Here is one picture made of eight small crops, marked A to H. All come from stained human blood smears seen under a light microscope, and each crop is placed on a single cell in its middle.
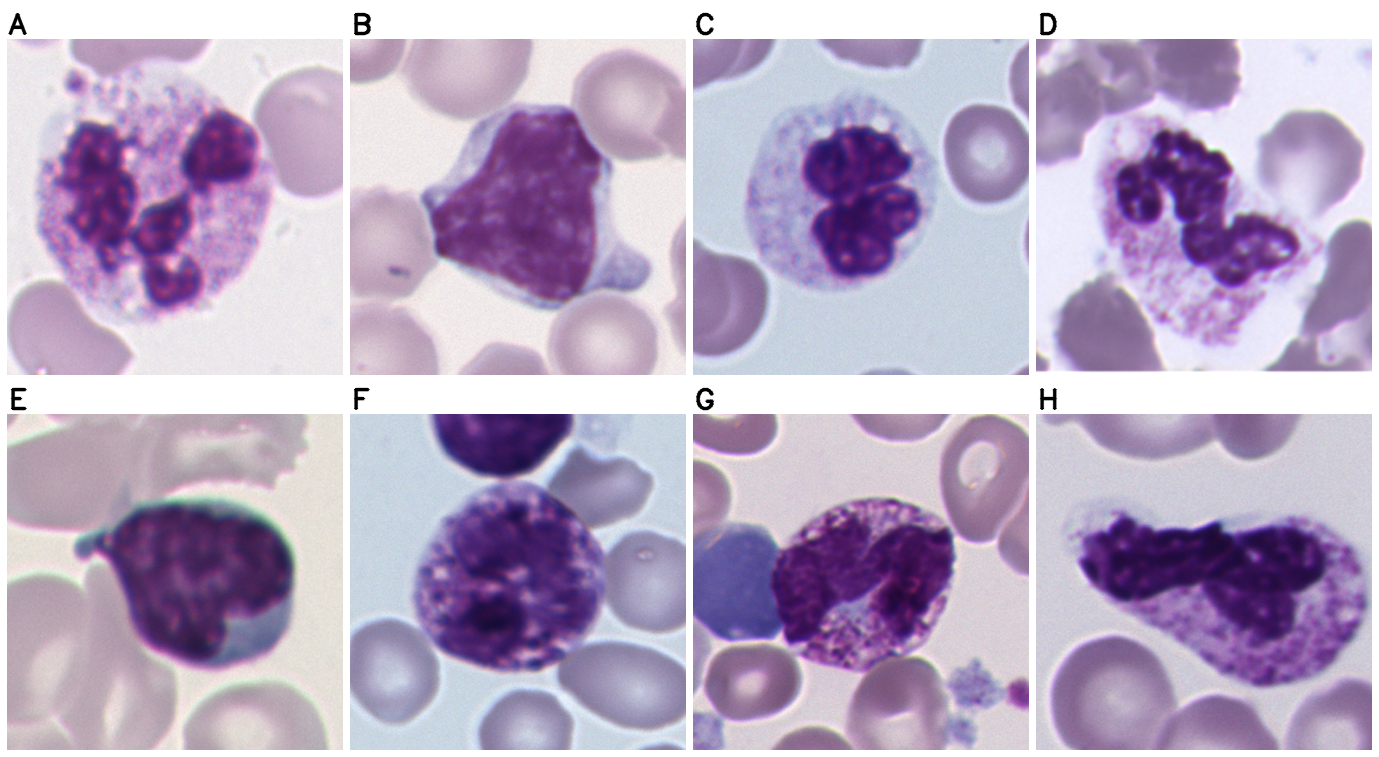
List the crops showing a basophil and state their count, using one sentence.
Crops showing basophils are F and G, so two altogether.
